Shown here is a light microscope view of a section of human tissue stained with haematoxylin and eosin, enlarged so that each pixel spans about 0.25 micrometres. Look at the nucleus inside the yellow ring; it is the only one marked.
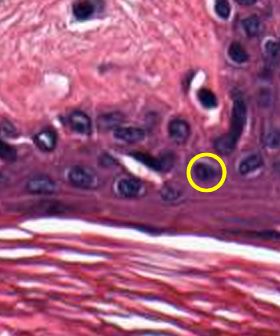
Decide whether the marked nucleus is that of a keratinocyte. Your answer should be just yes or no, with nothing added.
yes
